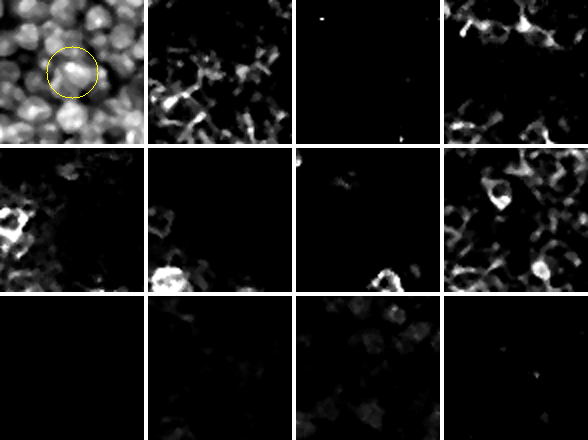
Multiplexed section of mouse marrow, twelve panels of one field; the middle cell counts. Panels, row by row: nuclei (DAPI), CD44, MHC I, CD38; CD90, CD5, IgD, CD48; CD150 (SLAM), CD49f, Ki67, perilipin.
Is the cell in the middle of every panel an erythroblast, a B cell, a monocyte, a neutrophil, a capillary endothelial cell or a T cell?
It is a neutrophil.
